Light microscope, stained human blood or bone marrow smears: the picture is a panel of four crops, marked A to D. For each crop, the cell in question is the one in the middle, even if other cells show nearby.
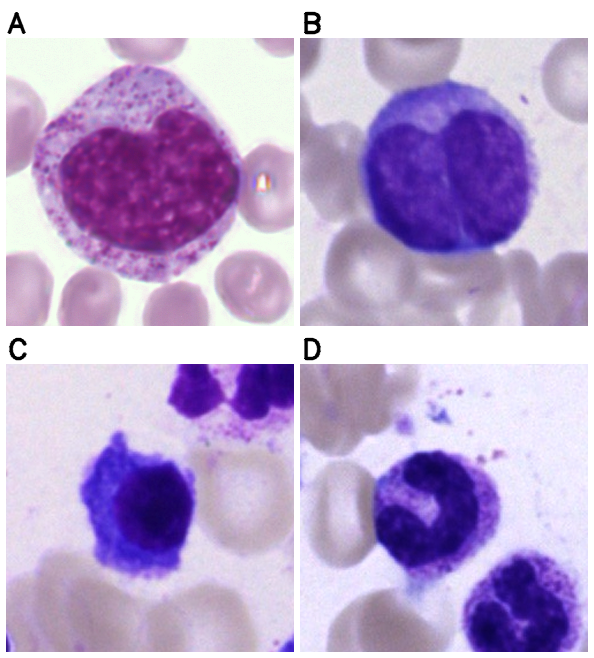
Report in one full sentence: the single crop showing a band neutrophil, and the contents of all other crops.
In the crop designated D, the cell is a band neutrophil, while crop A is a myelocyte, crop B is a monocyte and crop C is a plasma cell.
